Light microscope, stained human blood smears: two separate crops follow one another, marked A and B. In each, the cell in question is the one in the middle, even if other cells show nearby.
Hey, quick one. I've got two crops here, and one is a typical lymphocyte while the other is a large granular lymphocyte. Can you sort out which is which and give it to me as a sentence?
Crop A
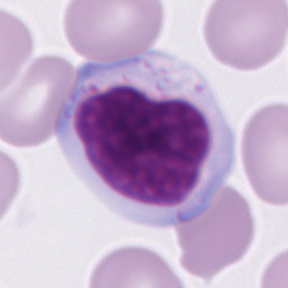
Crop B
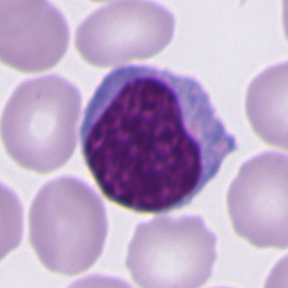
Crop A should be reported as a large granular lymphocyte, and crop B as a typical lymphocyte.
